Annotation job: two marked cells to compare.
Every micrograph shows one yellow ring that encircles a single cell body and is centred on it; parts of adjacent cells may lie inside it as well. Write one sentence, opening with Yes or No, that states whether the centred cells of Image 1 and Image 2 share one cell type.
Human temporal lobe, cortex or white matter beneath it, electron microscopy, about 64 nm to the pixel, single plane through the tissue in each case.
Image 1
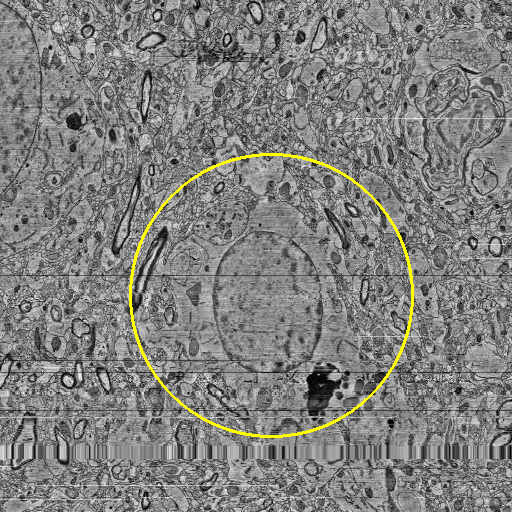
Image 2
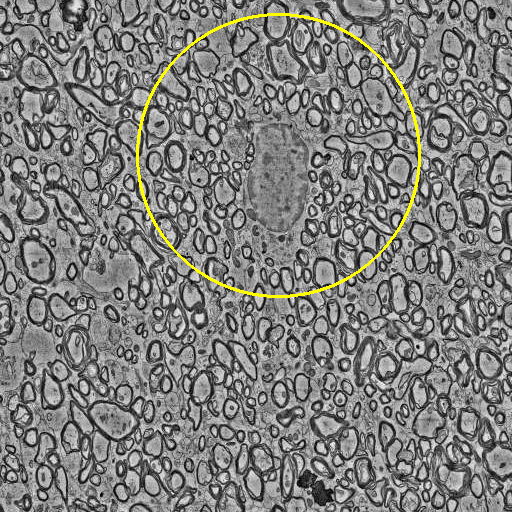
No, the cell centred in Image 1 and the cell centred in Image 2 are of two types.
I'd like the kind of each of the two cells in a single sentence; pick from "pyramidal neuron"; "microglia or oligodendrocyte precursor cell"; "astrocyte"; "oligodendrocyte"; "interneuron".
The first ring marks an astrocyte, and the second ring marks an oligodendrocyte.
